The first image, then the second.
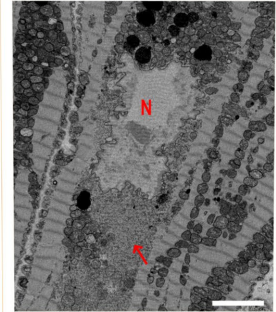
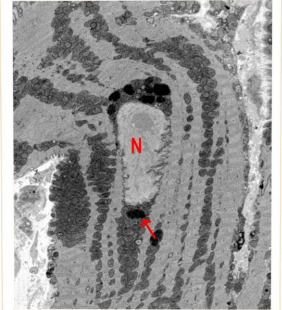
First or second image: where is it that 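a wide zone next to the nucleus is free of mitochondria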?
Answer: the first image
